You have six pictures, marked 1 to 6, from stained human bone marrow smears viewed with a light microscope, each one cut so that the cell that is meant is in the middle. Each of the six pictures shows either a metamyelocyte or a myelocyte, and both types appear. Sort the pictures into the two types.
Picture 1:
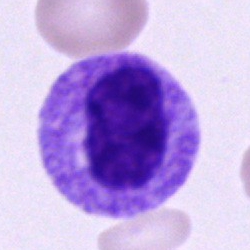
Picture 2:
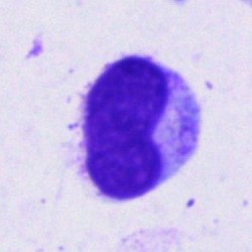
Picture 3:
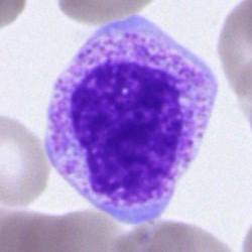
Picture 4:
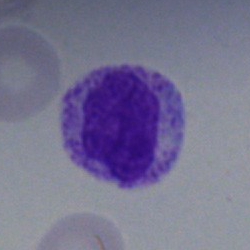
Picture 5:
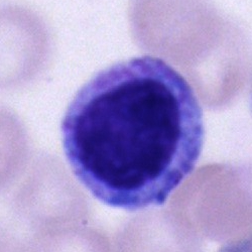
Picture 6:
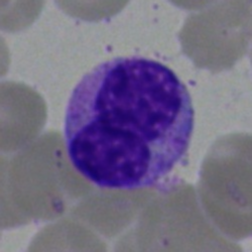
1: myelocyte
2: metamyelocyte
3: myelocyte
4: myelocyte
5: myelocyte
6: metamyelocyte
